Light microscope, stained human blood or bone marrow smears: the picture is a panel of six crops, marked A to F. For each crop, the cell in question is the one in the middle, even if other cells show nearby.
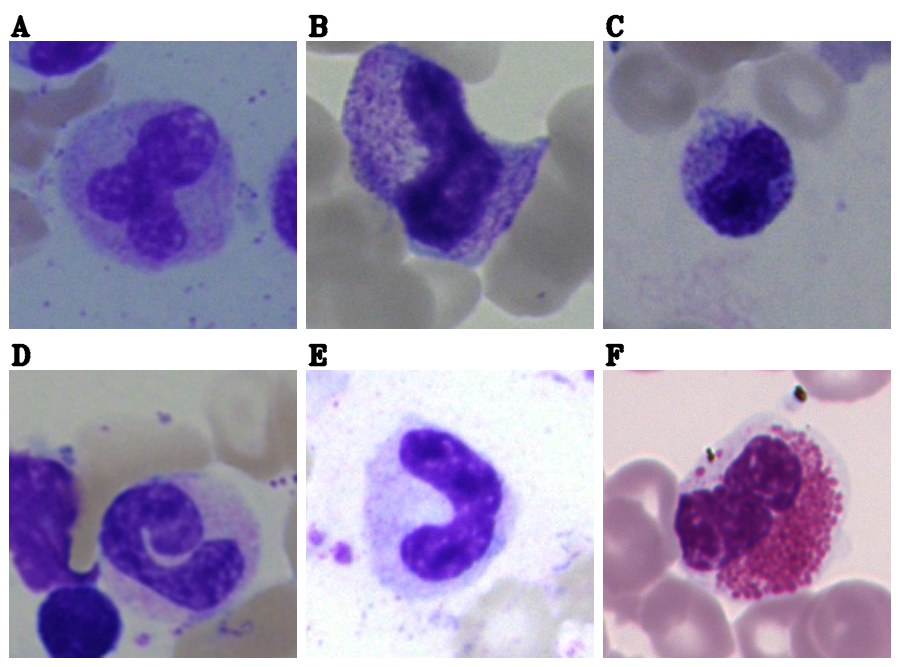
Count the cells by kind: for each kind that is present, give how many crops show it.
band neutrophil: 5
eosinophil: 1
